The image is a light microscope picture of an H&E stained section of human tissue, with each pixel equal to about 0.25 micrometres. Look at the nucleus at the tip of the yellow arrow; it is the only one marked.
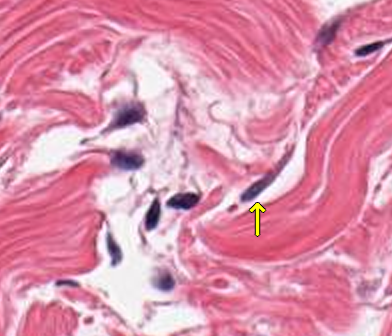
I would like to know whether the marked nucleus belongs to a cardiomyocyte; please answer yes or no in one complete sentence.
No, the marked nucleus is contained in a supporting cell and not in a cardiomyocyte.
